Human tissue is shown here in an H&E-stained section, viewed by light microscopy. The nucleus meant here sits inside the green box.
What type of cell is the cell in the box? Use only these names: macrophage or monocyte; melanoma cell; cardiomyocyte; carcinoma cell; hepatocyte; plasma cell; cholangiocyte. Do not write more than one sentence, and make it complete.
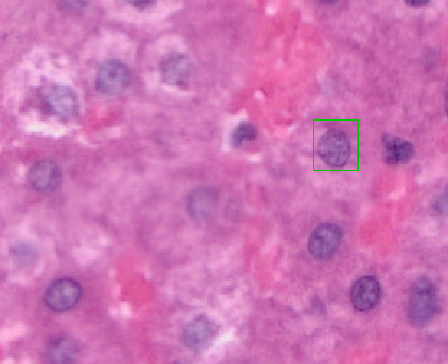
The cell type represented by the cell in the box is that of a hepatocyte.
